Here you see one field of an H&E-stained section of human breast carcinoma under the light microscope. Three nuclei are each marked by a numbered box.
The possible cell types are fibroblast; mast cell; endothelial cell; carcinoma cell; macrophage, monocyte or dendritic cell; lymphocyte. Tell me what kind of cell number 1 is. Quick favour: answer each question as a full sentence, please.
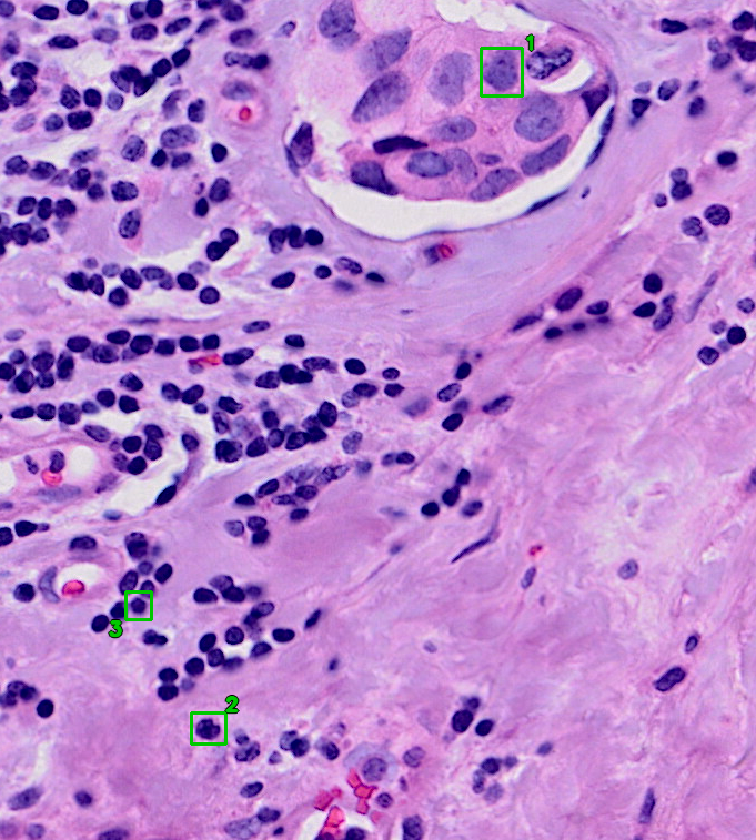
Numbered cell 1 is a carcinoma cell in this tissue section.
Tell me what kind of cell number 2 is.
Marked with the number 2, this cell is a lymphocyte.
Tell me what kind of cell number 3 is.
The cell identified by number 3 is a lymphocyte.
